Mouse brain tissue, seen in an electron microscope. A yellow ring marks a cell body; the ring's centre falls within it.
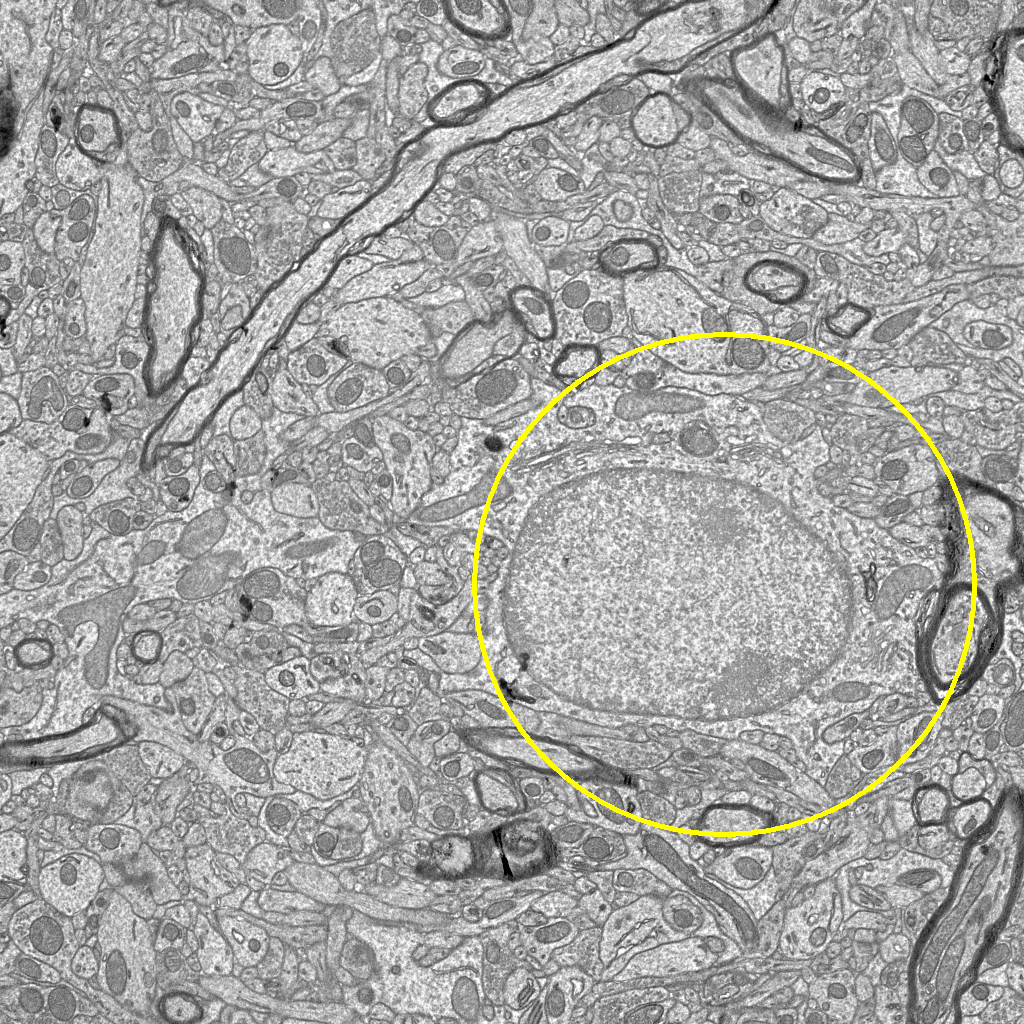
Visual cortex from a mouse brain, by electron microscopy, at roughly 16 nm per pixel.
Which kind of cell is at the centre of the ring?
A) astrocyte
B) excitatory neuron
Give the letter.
A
